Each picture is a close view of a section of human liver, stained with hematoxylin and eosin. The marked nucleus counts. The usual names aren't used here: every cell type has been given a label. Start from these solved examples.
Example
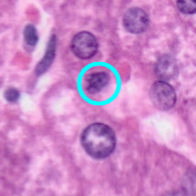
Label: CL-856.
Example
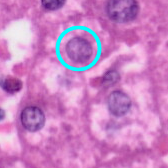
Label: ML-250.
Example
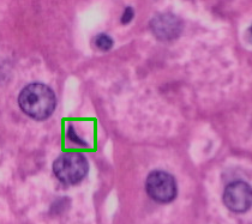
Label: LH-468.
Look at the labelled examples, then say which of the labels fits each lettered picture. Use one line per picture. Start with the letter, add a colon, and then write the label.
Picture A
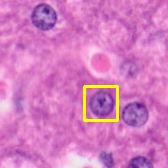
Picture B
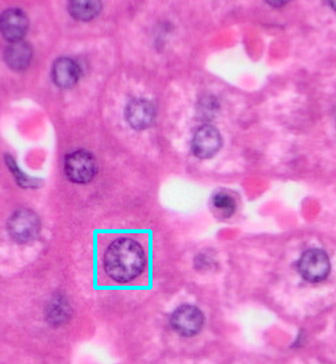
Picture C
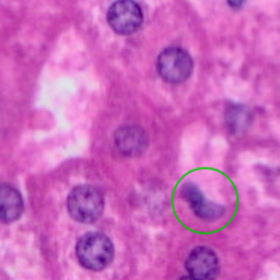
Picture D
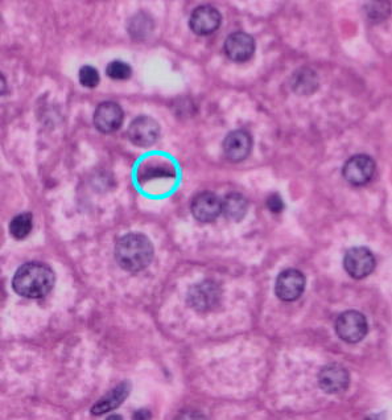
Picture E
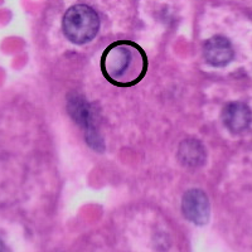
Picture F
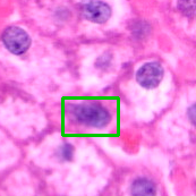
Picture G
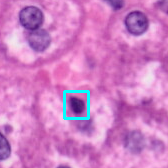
A: ML-250.
B: ML-250.
C: LH-468.
D: LH-468.
E: LH-468.
F: LH-468.
G: CL-856.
